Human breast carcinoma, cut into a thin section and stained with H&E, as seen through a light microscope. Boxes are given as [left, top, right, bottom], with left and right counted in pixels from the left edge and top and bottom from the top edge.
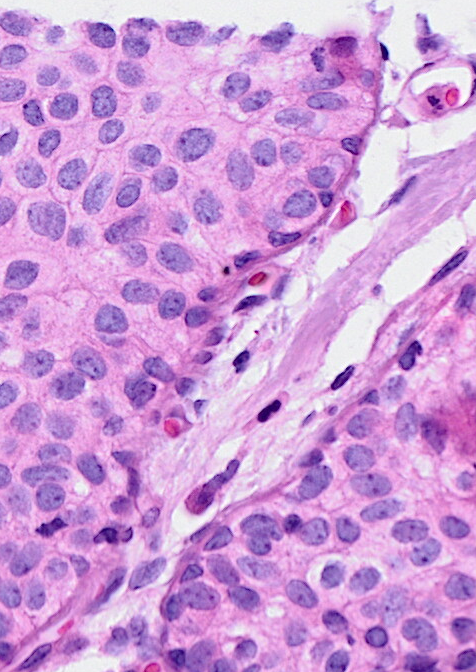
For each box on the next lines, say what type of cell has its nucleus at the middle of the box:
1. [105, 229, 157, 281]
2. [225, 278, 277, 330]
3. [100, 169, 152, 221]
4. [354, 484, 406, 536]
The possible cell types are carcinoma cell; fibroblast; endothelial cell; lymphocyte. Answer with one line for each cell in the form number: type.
1: carcinoma cell
2: endothelial cell
3: carcinoma cell
4: carcinoma cell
